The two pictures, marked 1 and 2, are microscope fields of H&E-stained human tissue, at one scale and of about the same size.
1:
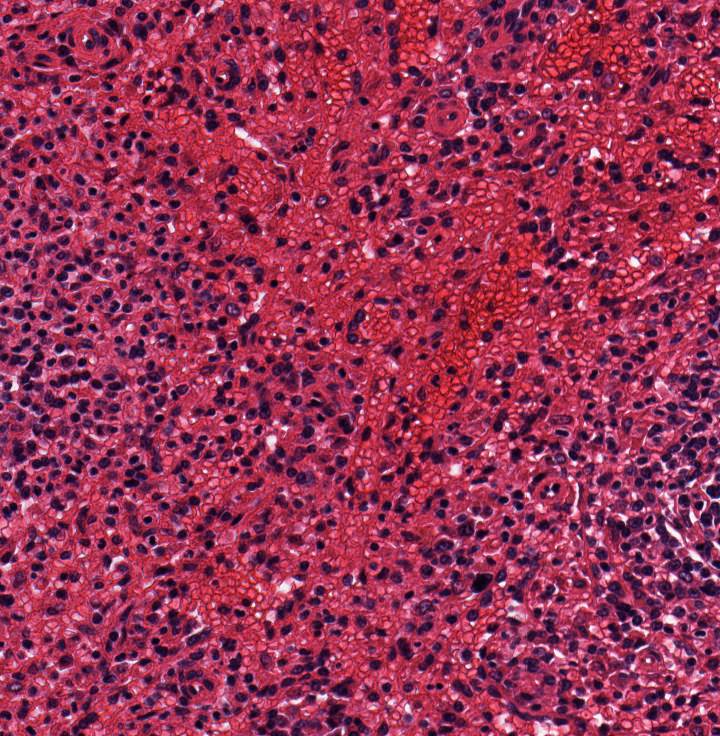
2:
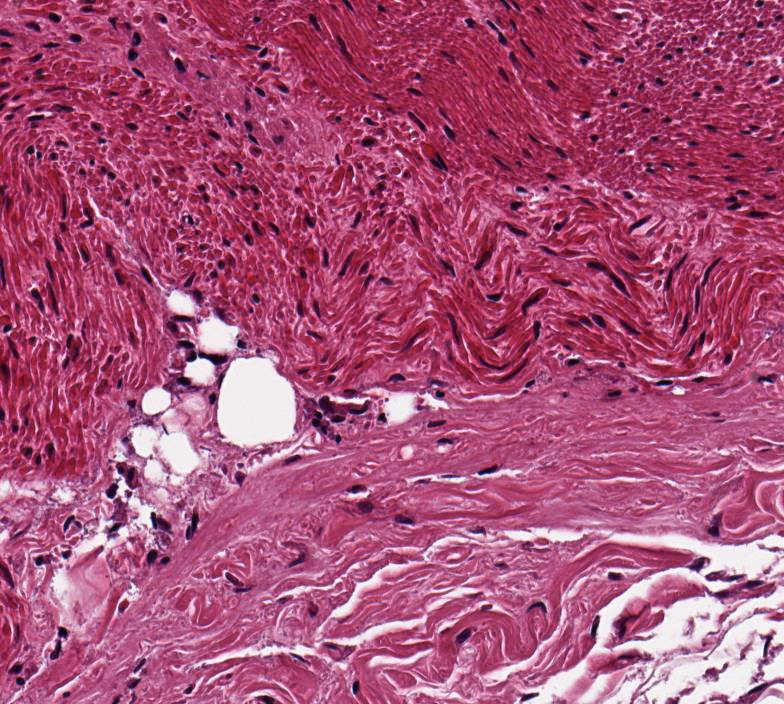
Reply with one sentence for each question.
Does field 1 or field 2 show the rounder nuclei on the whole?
On the whole the nuclei of field 1 are rounder than those of field 2.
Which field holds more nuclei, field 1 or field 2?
The larger number of nuclei is in field 1.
